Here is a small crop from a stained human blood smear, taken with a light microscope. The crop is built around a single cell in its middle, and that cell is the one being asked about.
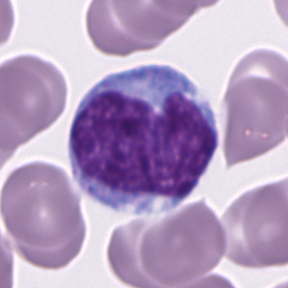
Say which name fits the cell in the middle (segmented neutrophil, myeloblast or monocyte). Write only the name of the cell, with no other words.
monocyte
